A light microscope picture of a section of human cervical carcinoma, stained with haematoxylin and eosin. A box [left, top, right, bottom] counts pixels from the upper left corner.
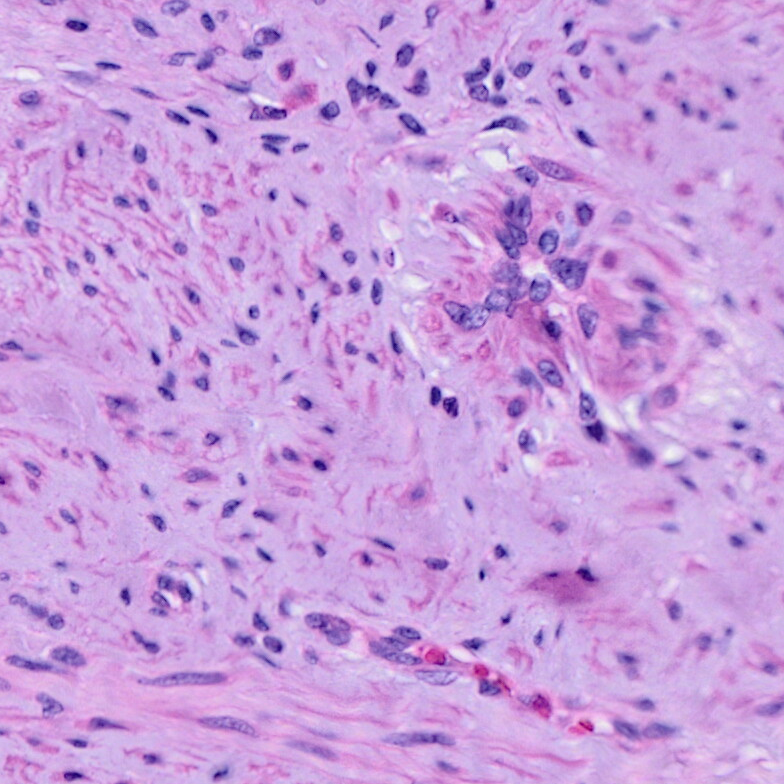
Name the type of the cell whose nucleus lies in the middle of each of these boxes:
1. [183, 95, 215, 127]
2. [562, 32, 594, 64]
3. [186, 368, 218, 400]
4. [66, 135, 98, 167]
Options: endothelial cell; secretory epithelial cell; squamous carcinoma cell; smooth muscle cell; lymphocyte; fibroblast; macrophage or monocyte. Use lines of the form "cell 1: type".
cell 1: fibroblast
cell 2: smooth muscle cell
cell 3: smooth muscle cell
cell 4: smooth muscle cell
